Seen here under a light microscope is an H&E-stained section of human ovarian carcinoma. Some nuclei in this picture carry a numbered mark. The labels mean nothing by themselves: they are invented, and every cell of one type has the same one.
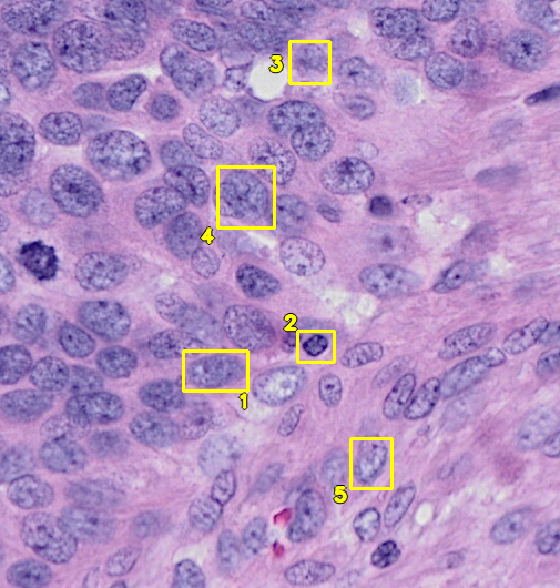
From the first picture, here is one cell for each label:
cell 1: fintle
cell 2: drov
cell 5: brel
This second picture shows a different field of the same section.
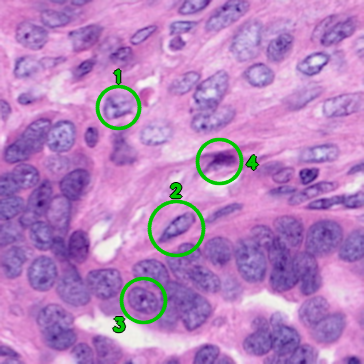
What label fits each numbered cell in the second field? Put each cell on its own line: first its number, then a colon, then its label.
1: brel
2: brel
3: fintle
4: brel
